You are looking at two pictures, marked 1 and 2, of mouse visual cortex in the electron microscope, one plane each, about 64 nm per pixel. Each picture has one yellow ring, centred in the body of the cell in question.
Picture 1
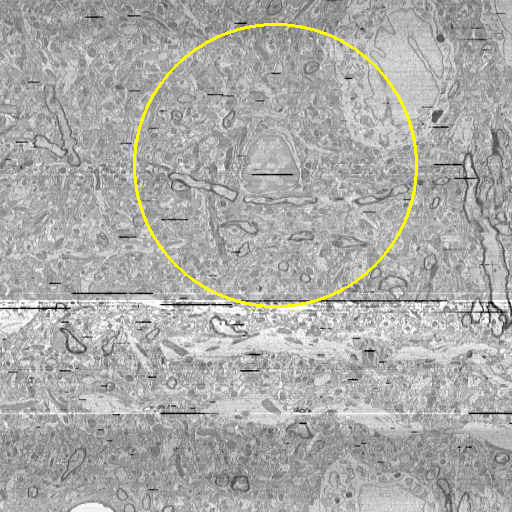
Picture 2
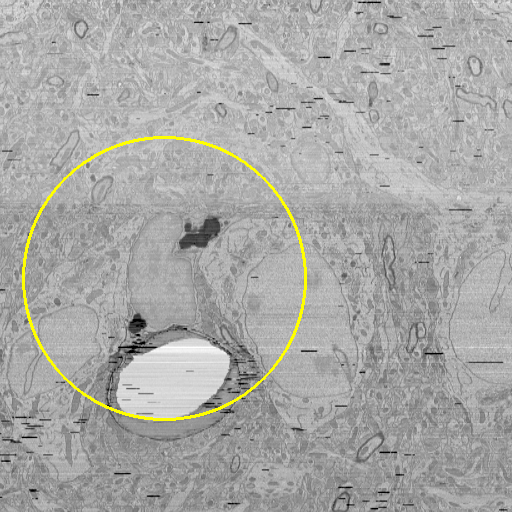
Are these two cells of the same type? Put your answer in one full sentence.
Yes, the two pictures both show microglial cells.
